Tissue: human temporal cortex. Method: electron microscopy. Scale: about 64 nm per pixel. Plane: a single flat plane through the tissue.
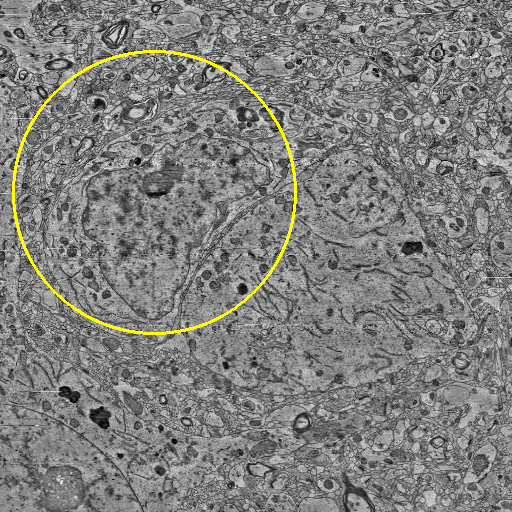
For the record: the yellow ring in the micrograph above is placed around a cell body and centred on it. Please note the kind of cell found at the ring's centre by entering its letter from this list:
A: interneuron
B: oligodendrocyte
A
